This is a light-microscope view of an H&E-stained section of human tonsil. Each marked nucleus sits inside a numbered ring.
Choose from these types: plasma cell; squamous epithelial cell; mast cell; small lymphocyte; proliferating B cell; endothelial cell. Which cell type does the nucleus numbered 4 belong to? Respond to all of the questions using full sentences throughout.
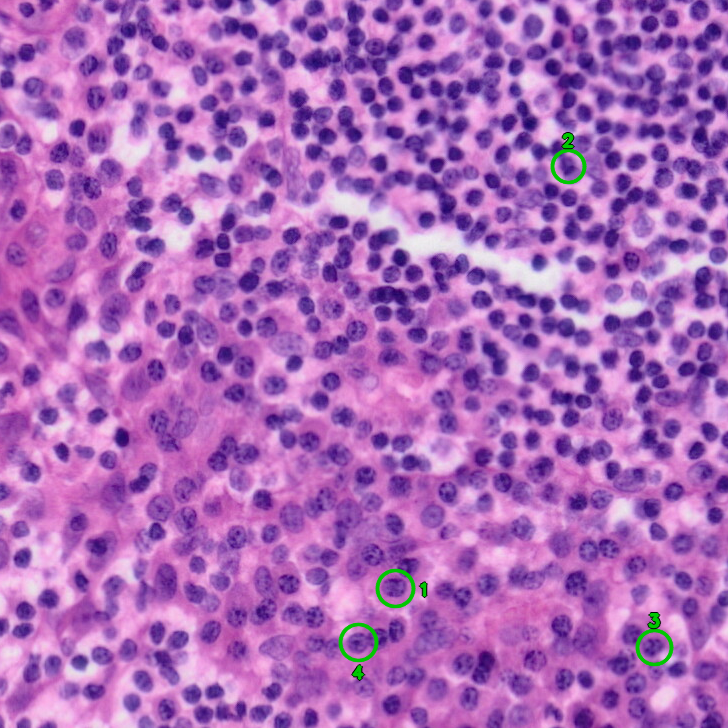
The cell that is numbered 4 is a plasma cell.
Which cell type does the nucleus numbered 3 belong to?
Number 3 among the marked cells is a plasma cell.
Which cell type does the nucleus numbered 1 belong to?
The correct label for cell 1 is a plasma cell.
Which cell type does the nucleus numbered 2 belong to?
Here, the cell given the number 2 is a small lymphocyte.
